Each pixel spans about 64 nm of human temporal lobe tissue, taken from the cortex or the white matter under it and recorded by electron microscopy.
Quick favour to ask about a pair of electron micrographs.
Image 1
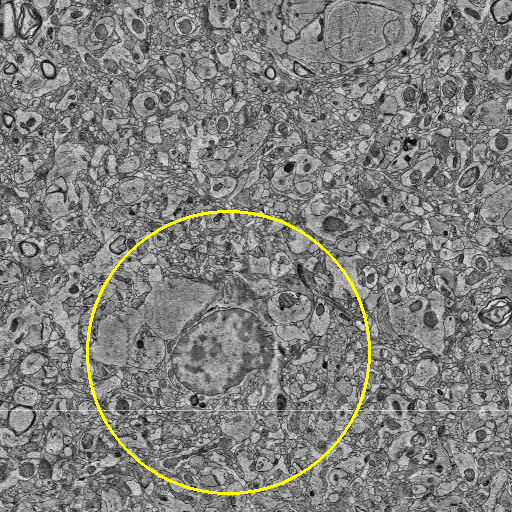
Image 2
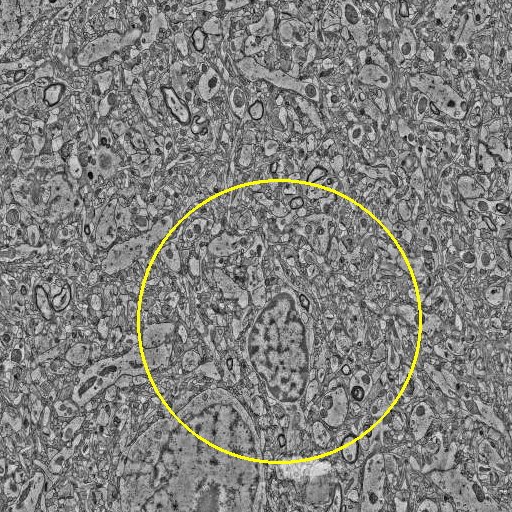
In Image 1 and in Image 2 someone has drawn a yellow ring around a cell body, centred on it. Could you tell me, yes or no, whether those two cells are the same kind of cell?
yes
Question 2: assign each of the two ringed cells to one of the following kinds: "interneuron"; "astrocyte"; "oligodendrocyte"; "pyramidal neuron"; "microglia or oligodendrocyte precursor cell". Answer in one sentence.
Each of the ringed cells, first and second, is a microglial cell or oligodendrocyte precursor cell.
